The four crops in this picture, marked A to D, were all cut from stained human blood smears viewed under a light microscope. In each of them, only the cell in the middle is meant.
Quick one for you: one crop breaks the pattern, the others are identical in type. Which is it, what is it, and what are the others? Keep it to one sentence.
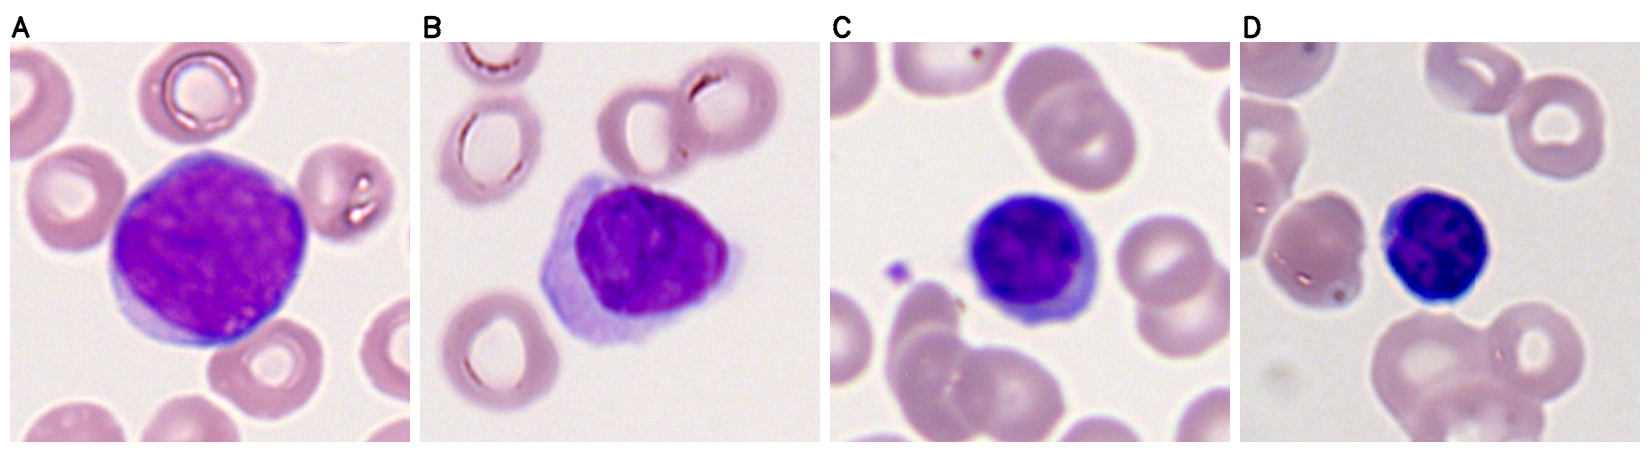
Crop A is the exception here: it is a myeloblast, and the others are lymphocytes.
